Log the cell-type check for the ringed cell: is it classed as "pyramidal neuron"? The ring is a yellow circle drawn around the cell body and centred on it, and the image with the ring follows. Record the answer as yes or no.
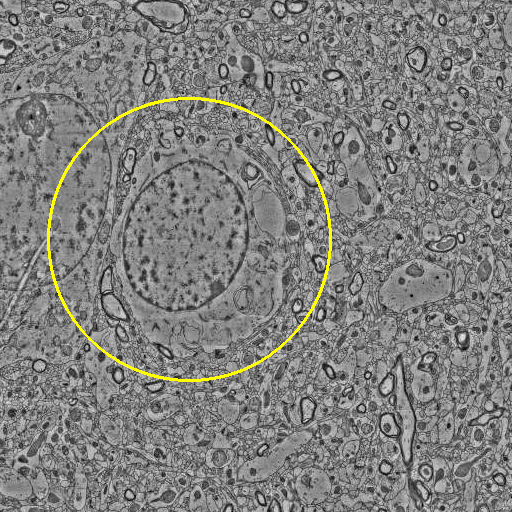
No, it is classed as another type.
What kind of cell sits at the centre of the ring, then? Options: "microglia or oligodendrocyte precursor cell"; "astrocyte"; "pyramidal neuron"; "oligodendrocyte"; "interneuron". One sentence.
The cell shown in the ring is an astrocyte.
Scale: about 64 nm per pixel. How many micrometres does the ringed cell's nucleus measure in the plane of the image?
The ringed cell's nucleus is about 10 micrometres long and 8 micrometres wide in this plane.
